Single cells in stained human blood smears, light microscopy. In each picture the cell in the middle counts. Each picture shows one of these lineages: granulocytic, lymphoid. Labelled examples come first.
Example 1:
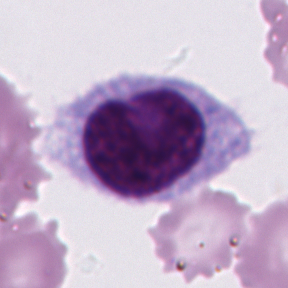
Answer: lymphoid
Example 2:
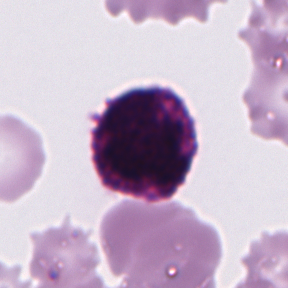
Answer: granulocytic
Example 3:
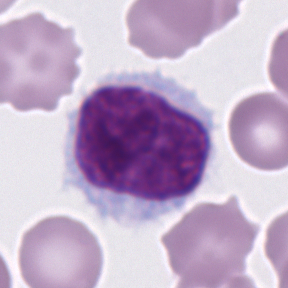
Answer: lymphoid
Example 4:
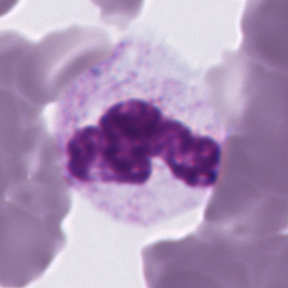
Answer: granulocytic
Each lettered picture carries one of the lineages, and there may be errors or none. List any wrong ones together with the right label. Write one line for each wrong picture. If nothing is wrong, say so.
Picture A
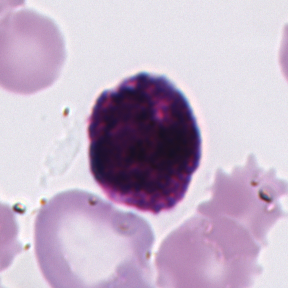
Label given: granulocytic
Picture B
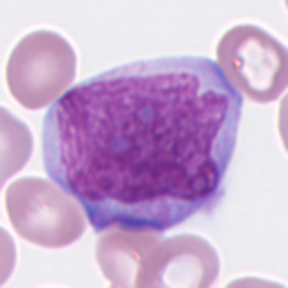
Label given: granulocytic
Every label is right.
